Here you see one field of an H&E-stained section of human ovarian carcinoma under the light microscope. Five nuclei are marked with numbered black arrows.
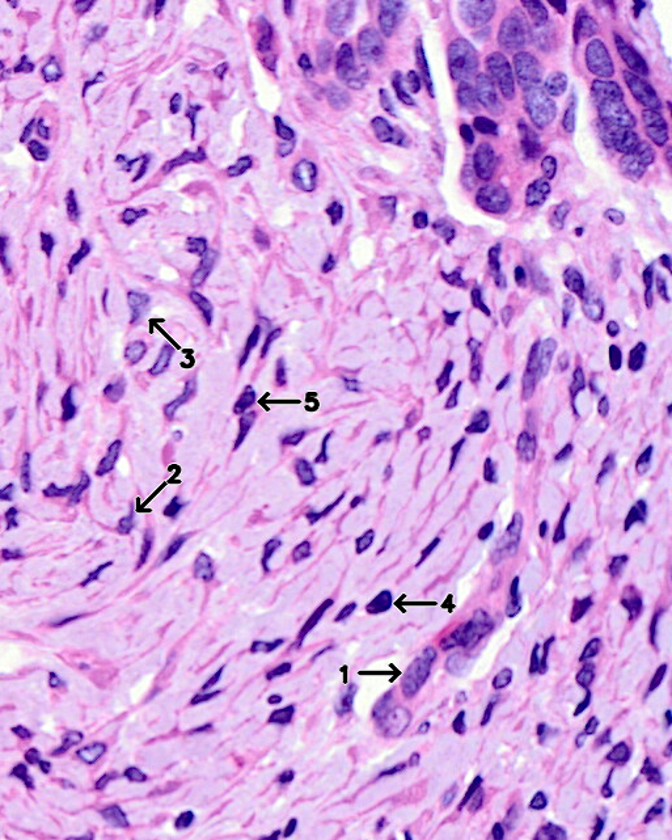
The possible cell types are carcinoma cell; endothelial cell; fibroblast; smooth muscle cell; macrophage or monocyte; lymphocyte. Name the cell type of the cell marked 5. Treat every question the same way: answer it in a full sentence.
Cell 5, as marked in the section, is a lymphocyte.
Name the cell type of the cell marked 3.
Belonging to a fibroblast is the nucleus that carries the number 3.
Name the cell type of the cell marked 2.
The cell that goes by number 2 is a fibroblast.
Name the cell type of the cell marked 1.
It is as an endothelial cell that the cell numbered 1 is identified.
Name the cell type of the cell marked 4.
Denoted by the label 4 in the section is a lymphocyte.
